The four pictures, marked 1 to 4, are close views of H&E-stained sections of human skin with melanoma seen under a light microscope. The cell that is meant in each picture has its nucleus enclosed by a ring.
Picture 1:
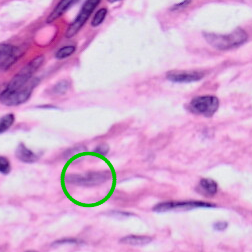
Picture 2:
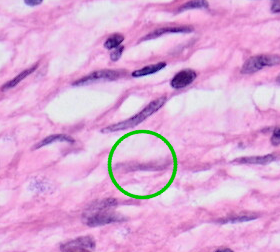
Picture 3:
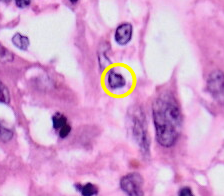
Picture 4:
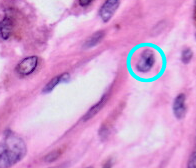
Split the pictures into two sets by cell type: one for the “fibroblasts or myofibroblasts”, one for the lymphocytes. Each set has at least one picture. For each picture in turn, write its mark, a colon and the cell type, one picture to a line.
1: fibroblast or myofibroblast
2: fibroblast or myofibroblast
3: lymphocyte
4: lymphocyte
